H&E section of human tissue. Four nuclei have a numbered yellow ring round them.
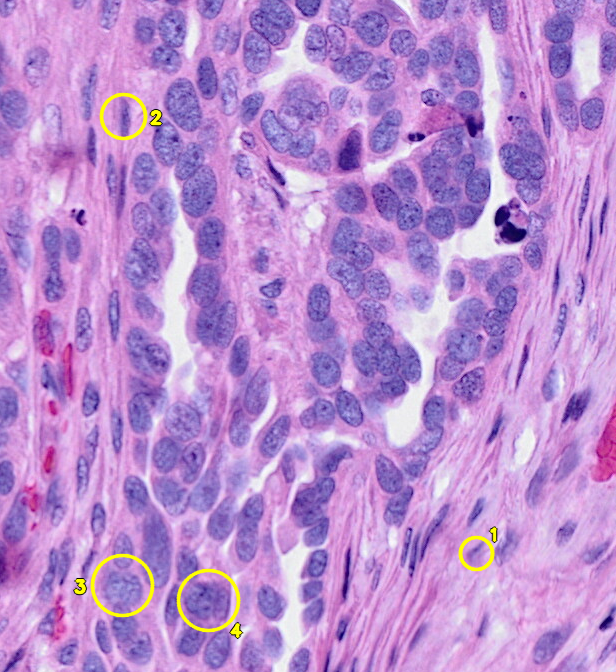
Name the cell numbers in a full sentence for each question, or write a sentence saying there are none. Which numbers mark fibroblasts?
The cells to which the numbers 1 and 2 refer are fibroblasts.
